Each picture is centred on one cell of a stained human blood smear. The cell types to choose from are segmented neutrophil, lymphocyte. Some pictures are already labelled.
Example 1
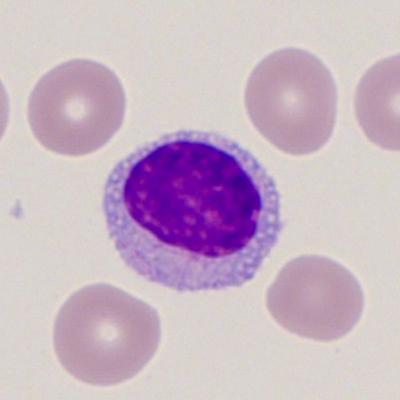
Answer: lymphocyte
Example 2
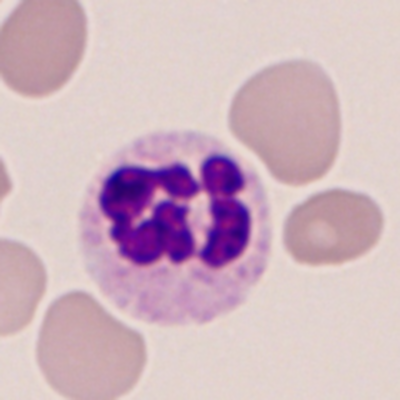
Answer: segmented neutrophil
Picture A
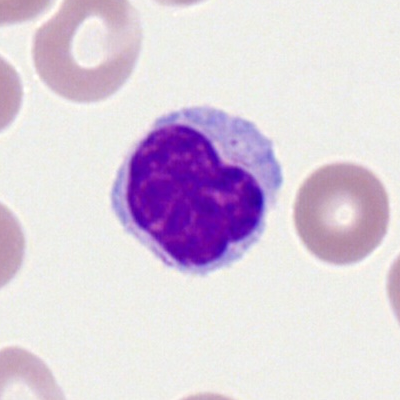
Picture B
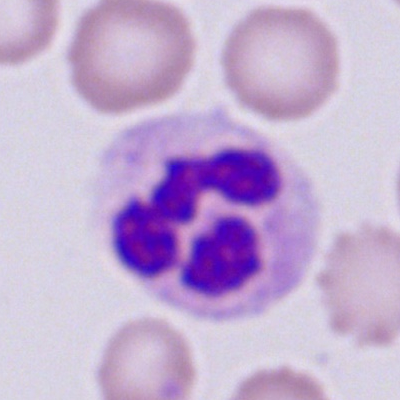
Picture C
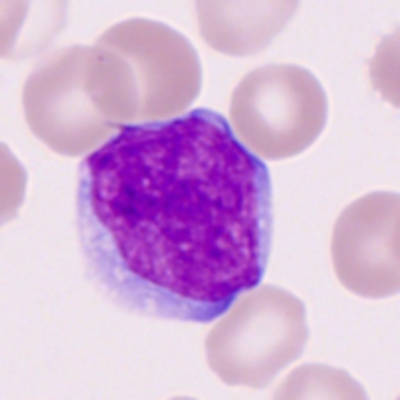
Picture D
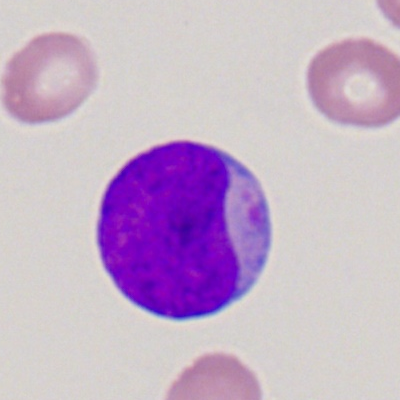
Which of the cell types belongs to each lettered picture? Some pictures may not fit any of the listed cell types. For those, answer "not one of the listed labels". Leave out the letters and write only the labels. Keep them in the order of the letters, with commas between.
lymphocyte, segmented neutrophil, not one of the listed labels, not one of the listed labels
